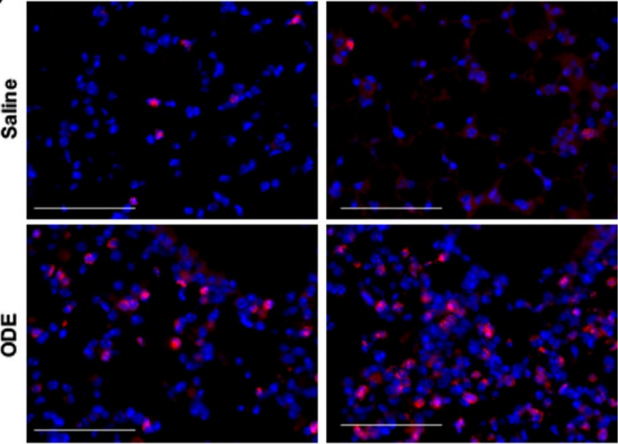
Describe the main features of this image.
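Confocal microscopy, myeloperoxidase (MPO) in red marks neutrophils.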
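This is lung parenchyma with blue nuclei scattered across a dark background, and some cells whose cytoplasm is filled with red. In the upper two images the nuclei are sparse and only a few red cells are seen. In the lower two images the nuclei crowd together much more densely and red-filled cells are many, lying singly among them. The red cells are small and round, with the blue nucleus showing within or beside the red.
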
